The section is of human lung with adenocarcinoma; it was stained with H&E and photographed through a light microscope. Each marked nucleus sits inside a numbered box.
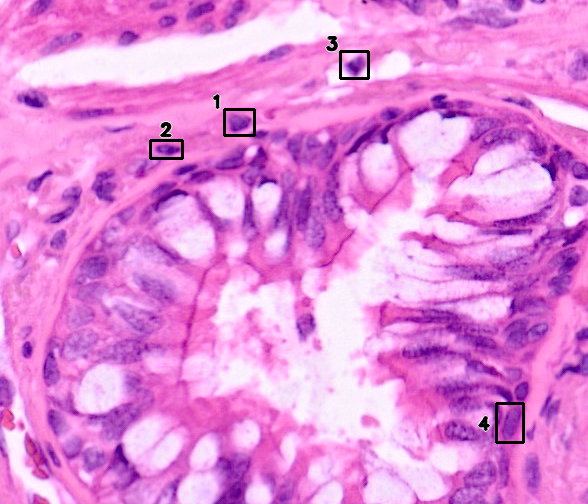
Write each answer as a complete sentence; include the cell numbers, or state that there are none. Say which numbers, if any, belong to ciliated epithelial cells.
With the exception of cell 4, no marked cell is a ciliated epithelial cell.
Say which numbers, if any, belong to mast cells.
Cells 1 and 2 are mast cells by cell type.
